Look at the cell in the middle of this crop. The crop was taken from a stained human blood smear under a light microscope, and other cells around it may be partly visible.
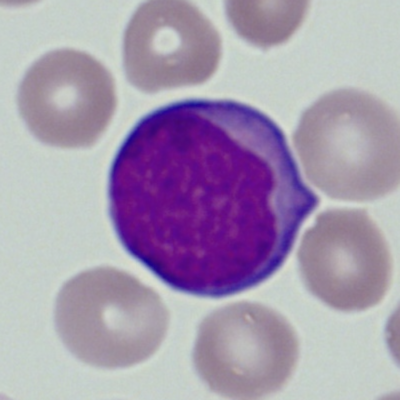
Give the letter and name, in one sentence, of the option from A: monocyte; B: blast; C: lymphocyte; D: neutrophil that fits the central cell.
In this crop the middle cell is a blast, so option B is the correct answer.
